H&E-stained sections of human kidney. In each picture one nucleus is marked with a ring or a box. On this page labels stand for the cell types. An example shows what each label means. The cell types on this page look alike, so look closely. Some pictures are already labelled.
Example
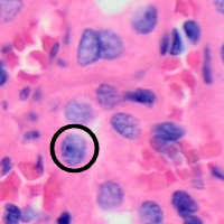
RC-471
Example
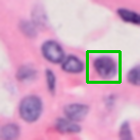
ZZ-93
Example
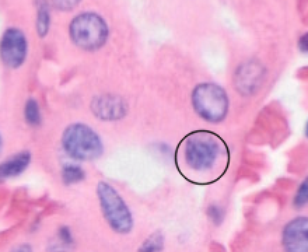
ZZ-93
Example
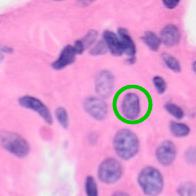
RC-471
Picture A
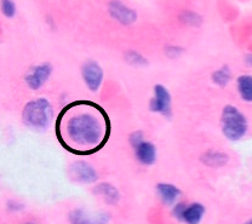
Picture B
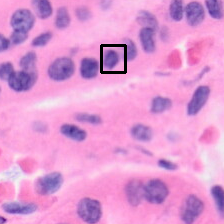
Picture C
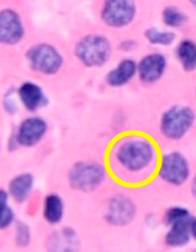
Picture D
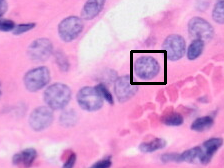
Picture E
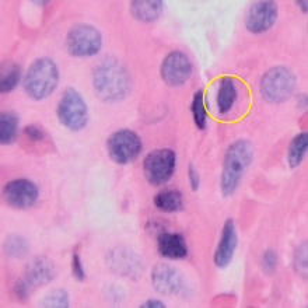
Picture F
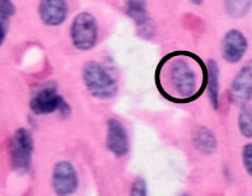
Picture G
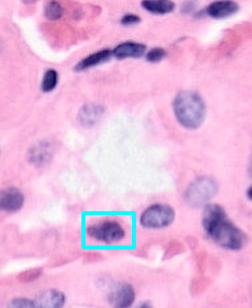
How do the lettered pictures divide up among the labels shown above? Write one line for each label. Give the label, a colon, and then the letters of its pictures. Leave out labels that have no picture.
RC-471: A, C, E, F, G
ZZ-93: B, D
